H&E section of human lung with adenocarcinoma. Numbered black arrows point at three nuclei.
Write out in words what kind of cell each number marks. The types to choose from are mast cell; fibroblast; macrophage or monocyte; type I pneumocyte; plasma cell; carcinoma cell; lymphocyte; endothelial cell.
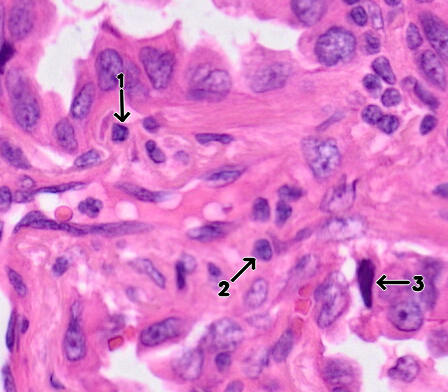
Cell 1 is a lymphocyte, cell 2 is a lymphocyte and cell 3 is a carcinoma cell.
